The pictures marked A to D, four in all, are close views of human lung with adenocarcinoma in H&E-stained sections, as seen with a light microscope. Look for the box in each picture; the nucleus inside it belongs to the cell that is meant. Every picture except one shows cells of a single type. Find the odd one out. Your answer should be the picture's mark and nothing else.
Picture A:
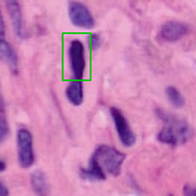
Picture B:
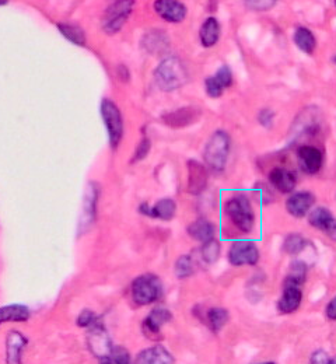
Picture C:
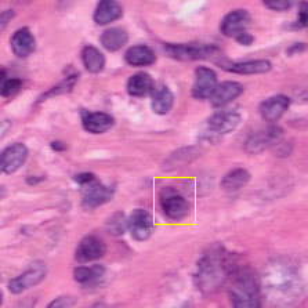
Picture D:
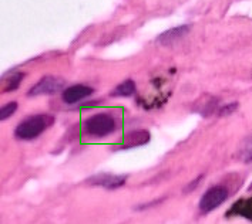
A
